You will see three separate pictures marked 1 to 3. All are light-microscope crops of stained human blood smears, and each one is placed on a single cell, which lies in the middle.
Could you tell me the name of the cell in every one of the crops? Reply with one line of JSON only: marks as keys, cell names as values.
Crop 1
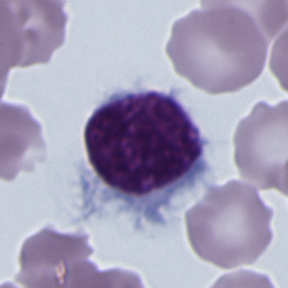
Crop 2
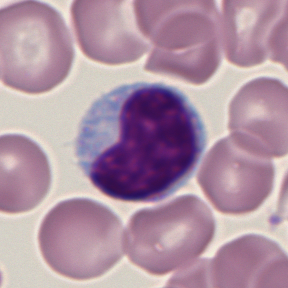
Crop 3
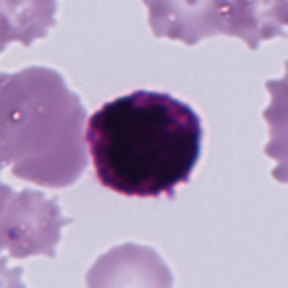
{"1": "hairy cell", "2": "typical lymphocyte", "3": "basophil"}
